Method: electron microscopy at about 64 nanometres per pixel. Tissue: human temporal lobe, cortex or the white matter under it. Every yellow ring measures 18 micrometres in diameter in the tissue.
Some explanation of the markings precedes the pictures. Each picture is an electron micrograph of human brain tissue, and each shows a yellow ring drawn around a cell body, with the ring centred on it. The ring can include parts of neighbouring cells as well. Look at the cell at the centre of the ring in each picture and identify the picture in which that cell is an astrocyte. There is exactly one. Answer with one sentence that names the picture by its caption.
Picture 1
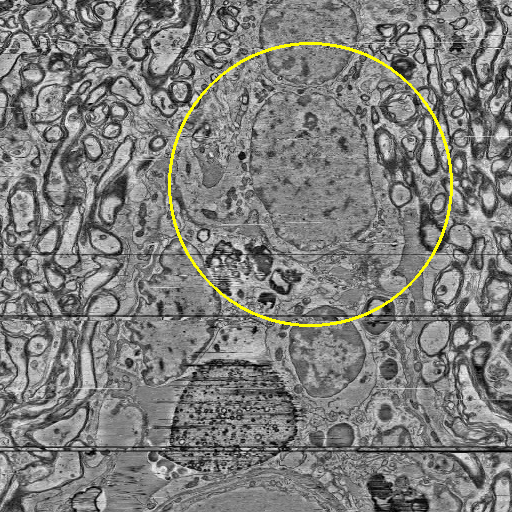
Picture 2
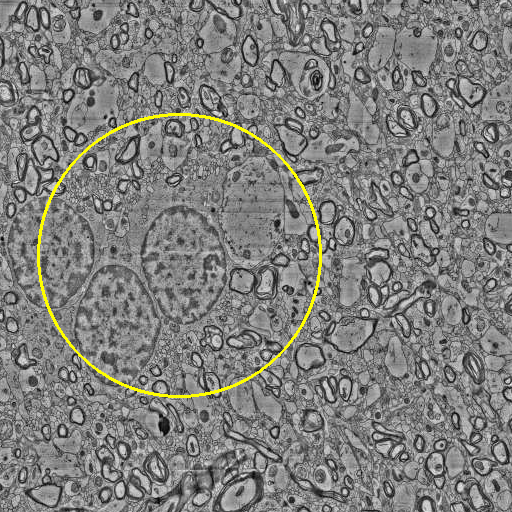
In Picture 1, the cell at the centre of the ring is of that kind.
